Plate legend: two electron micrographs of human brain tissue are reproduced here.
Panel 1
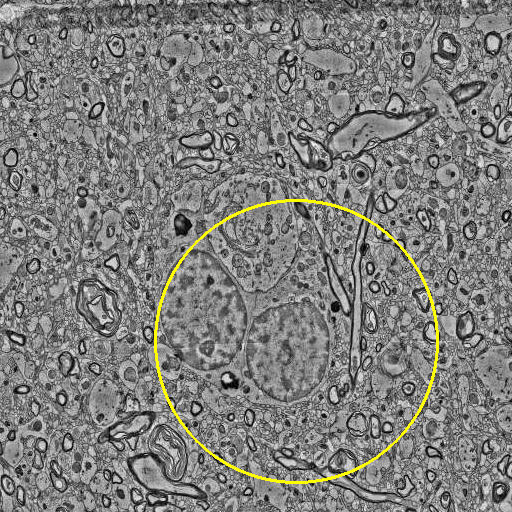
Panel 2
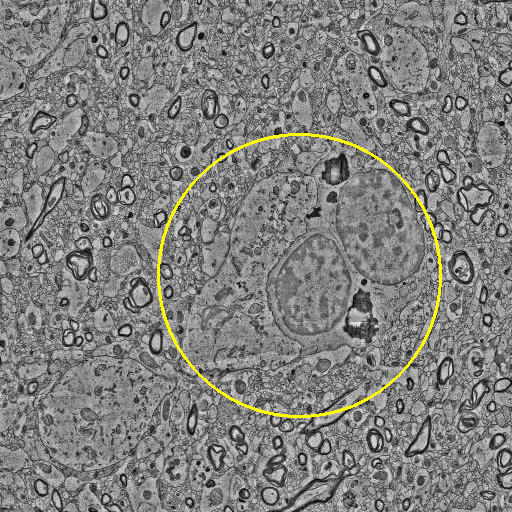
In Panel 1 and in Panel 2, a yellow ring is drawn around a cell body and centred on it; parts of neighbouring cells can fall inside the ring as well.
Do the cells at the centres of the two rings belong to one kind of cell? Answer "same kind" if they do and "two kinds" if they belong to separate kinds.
same kind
